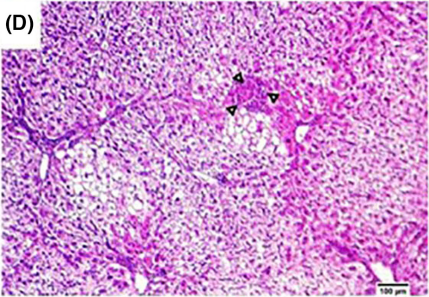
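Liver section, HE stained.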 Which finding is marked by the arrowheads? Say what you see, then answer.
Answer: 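The focus lies beside a cluster of pale vacuolated cells.
Hence: Hepatocellular necrosis.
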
